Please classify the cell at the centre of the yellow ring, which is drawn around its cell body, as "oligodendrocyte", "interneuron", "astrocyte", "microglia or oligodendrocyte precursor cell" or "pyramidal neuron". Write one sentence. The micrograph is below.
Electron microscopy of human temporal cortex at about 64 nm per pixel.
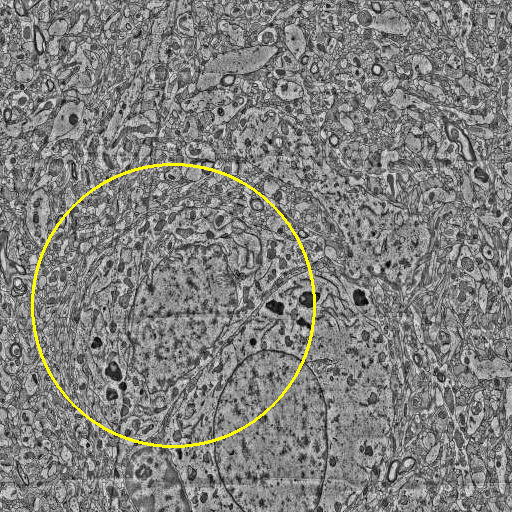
The cell at the ring's centre is classified as an interneuron.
